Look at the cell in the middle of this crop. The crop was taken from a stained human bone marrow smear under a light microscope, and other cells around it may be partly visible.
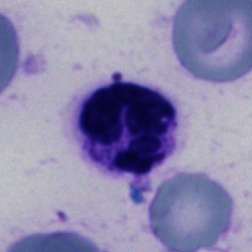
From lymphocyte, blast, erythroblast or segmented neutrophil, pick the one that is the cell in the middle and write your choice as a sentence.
To answer, the cell in the center of the crop is a segmented neutrophil.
